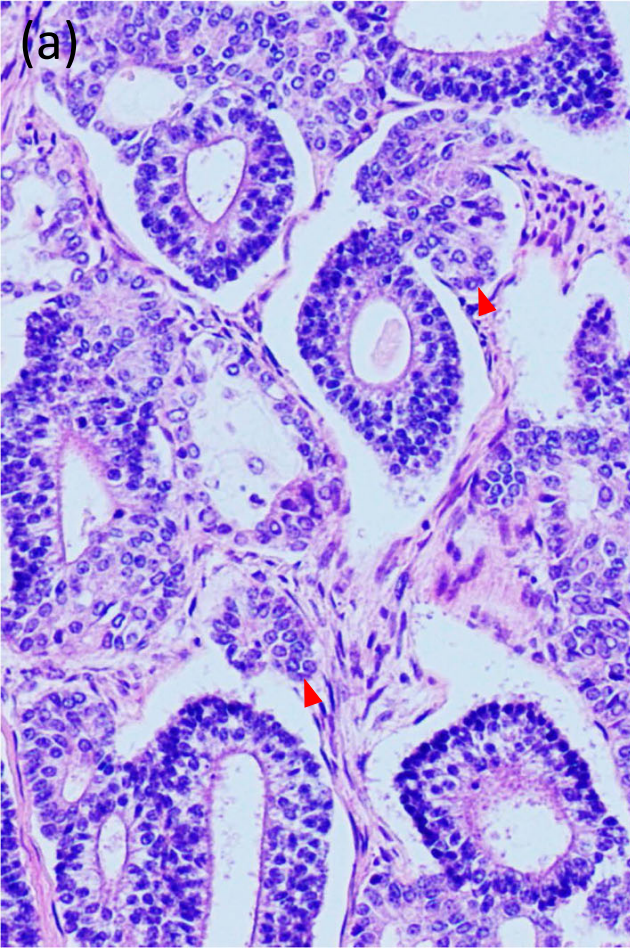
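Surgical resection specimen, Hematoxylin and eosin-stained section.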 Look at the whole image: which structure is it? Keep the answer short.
glands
